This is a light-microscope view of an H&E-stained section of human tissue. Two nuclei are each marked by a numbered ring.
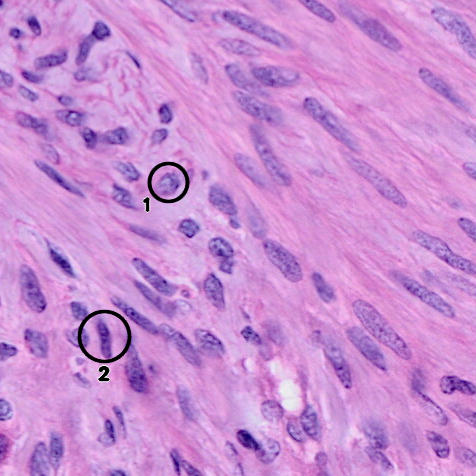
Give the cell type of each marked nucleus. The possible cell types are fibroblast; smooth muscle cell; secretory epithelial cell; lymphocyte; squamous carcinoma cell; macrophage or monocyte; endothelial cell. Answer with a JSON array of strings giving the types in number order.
["smooth muscle cell", "fibroblast"]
